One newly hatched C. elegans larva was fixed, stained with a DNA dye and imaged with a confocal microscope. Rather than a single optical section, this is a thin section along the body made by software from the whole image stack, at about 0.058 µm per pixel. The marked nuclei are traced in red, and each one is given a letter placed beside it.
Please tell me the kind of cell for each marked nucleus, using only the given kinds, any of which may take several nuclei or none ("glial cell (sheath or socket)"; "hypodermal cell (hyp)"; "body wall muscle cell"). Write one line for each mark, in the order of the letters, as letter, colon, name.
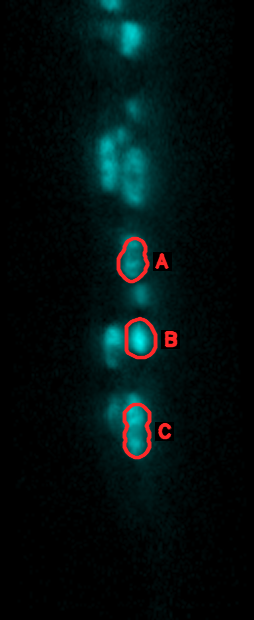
A: hypodermal cell (hyp)
B: glial cell (sheath or socket)
C: hypodermal cell (hyp)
